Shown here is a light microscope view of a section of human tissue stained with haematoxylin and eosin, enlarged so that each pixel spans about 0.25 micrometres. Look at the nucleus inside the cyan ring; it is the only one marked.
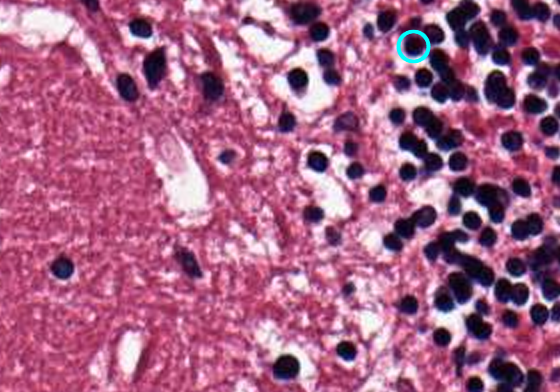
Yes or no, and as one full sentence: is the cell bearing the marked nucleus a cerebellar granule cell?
Yes, the marked nucleus is present within a cerebellar granule cell.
